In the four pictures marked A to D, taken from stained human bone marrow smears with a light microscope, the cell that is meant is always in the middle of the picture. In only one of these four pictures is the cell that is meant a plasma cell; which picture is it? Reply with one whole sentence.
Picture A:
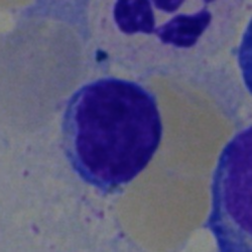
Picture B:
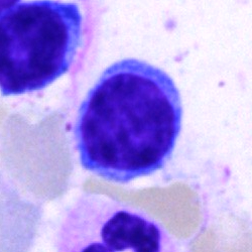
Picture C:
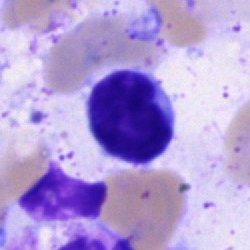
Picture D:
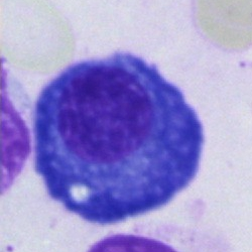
Picture D shows the plasma cell.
